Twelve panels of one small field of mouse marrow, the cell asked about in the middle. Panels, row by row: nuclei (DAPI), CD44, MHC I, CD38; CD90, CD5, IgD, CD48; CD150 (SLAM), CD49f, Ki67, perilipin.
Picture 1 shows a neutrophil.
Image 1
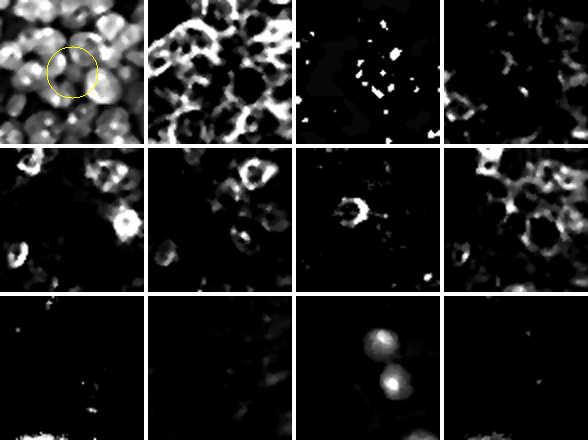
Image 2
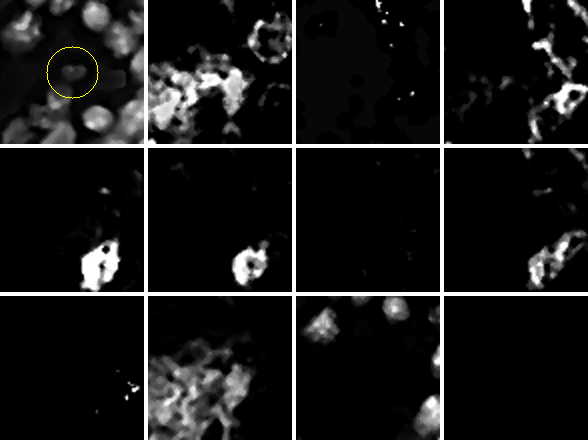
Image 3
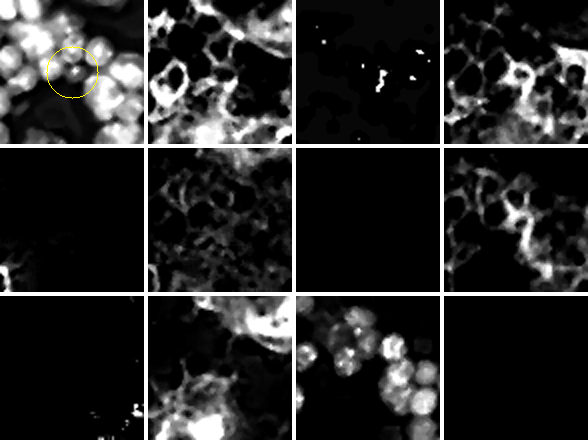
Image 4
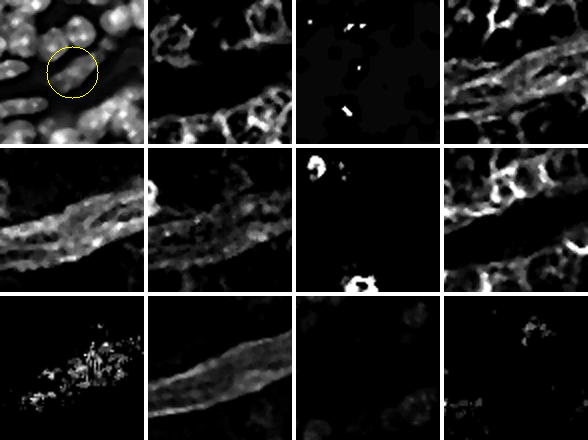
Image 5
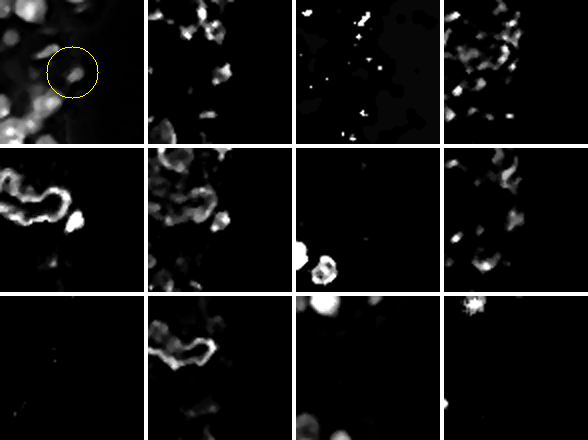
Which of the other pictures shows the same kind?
Picture 2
